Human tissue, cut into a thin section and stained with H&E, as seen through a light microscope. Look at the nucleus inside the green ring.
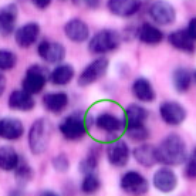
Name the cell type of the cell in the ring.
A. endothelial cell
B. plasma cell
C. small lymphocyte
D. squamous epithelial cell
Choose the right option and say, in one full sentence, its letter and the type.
As stated in option C, the cell in the ring is a small lymphocyte.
